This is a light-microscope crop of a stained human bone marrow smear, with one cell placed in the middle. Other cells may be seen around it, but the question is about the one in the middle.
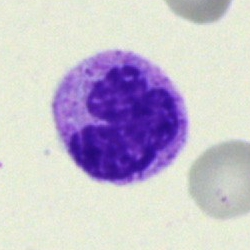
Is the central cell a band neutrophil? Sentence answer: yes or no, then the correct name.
Yes, that is a band neutrophil in the middle of the crop.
